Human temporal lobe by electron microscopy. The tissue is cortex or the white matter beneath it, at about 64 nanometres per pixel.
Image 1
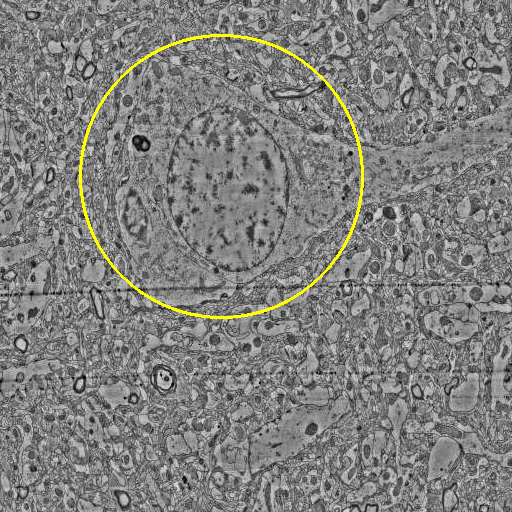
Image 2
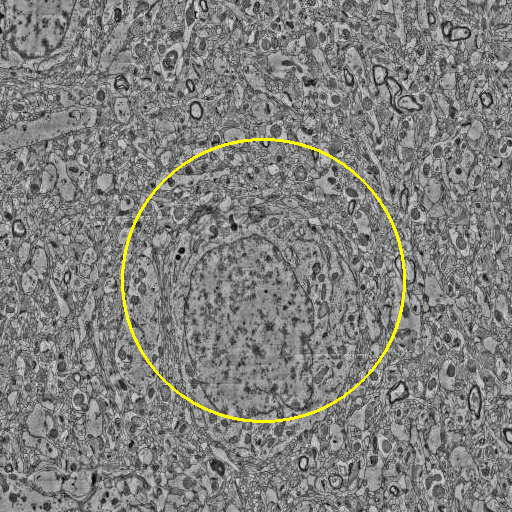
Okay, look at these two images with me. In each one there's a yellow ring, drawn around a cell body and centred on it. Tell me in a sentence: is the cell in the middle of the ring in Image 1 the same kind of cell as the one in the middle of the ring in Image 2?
No, they're two kinds of cell.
